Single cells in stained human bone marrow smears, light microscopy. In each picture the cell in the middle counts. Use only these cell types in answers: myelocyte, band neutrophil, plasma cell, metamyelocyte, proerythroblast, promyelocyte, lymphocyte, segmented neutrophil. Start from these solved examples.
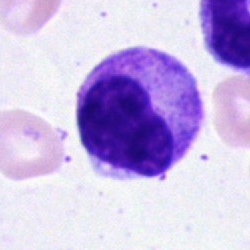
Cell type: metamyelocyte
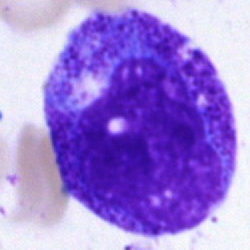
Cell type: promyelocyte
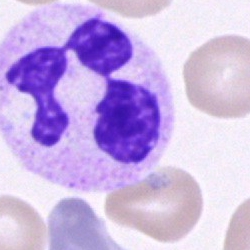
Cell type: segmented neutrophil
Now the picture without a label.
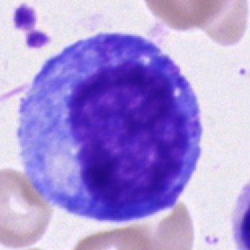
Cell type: promyelocyte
